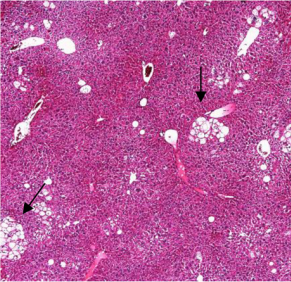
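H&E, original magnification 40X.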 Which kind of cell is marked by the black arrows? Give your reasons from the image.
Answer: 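The arrows point to small rounded clusters of pale, vacuolated cells. These clusters sit within otherwise uniform pink liver tissue. The answer: lipid rich hepatocytes.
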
